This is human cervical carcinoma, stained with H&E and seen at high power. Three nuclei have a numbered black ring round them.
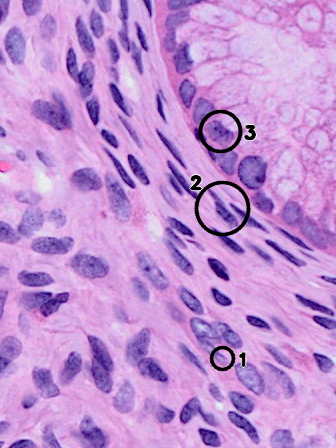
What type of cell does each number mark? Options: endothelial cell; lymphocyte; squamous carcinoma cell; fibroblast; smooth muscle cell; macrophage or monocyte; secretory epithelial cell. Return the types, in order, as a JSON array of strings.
["endothelial cell", "fibroblast", "secretory epithelial cell"]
